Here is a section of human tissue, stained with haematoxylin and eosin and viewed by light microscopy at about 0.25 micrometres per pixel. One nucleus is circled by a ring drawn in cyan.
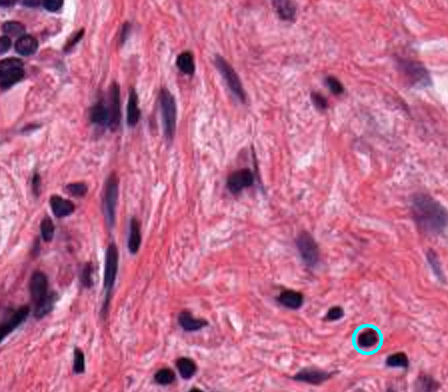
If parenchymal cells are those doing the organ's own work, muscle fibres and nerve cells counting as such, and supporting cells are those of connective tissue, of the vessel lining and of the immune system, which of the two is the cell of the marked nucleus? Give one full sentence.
Belonging to a supporting cell is the nucleus that is marked.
